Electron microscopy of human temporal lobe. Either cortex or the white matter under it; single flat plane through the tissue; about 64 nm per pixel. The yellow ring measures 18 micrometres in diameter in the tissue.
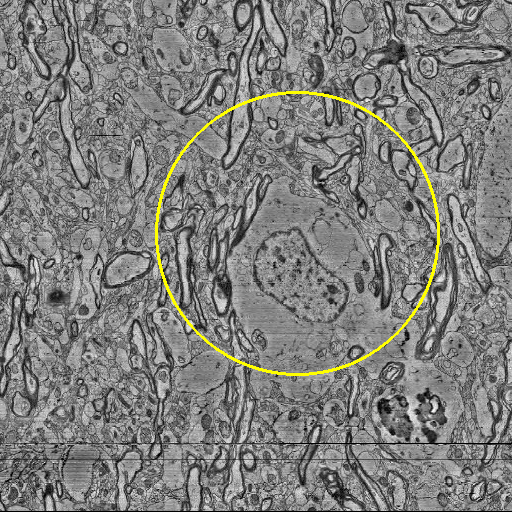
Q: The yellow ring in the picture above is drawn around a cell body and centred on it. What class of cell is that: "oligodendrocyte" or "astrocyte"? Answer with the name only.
astrocyte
